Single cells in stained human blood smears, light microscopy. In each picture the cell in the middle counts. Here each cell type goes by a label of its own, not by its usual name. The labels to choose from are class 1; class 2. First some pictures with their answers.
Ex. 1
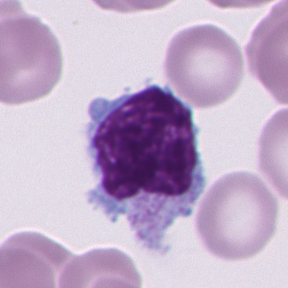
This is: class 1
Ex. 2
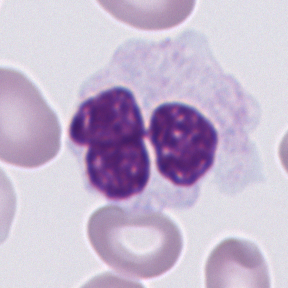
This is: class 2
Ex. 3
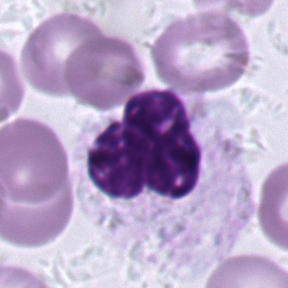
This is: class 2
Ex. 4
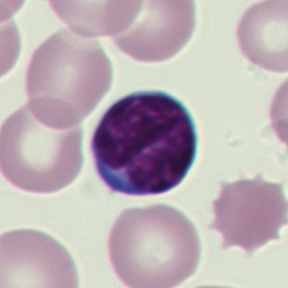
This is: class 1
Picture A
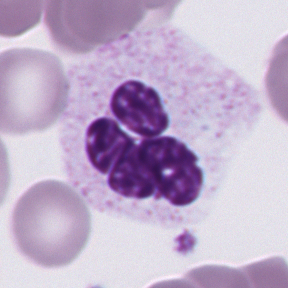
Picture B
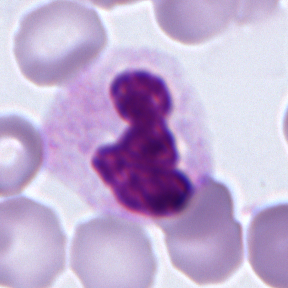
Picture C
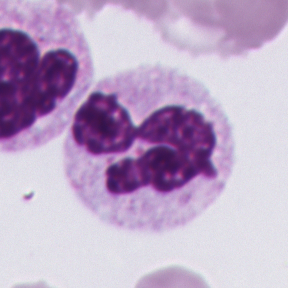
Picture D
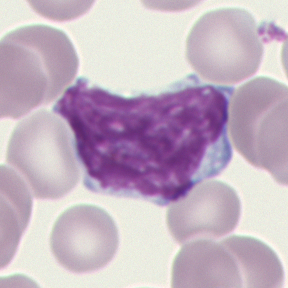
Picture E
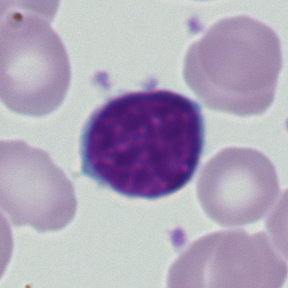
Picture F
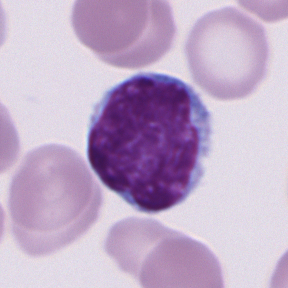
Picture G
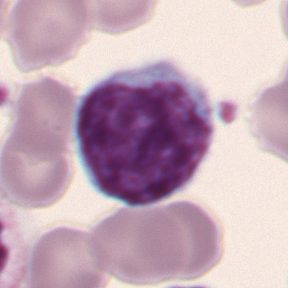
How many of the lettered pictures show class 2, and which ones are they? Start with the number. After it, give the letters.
Count: 3 (A, B, C)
